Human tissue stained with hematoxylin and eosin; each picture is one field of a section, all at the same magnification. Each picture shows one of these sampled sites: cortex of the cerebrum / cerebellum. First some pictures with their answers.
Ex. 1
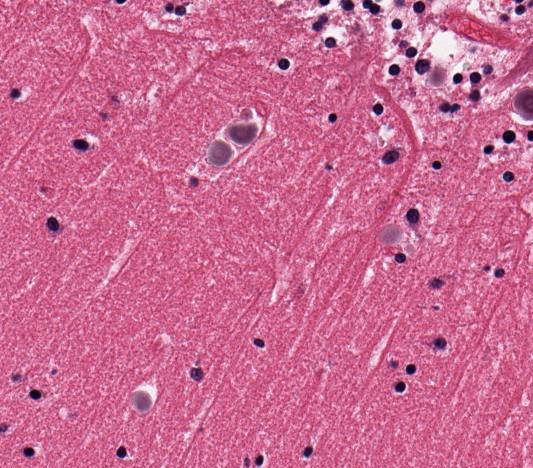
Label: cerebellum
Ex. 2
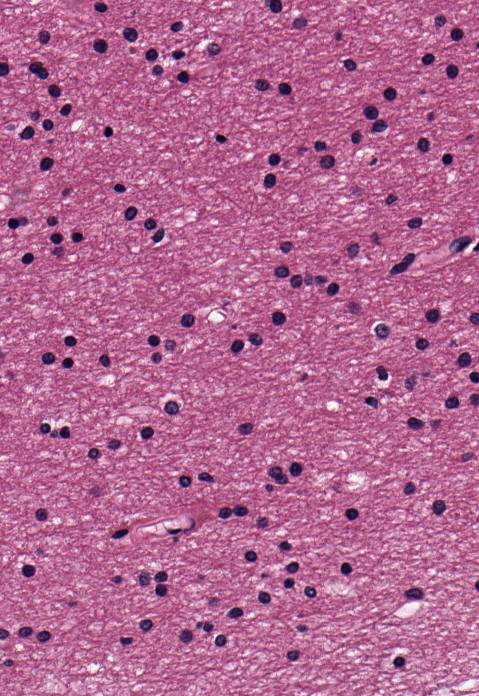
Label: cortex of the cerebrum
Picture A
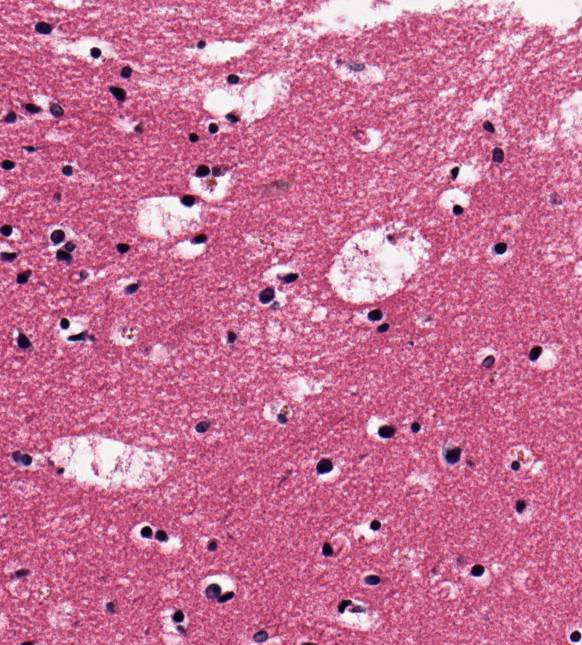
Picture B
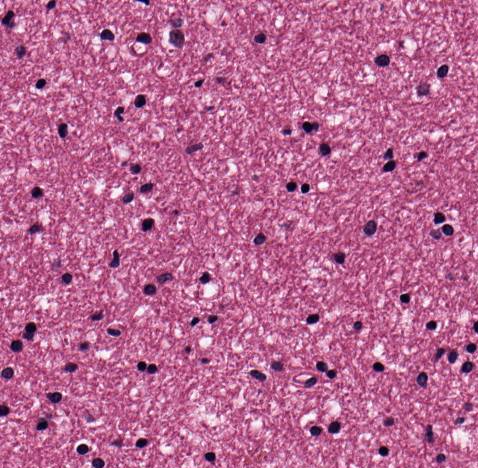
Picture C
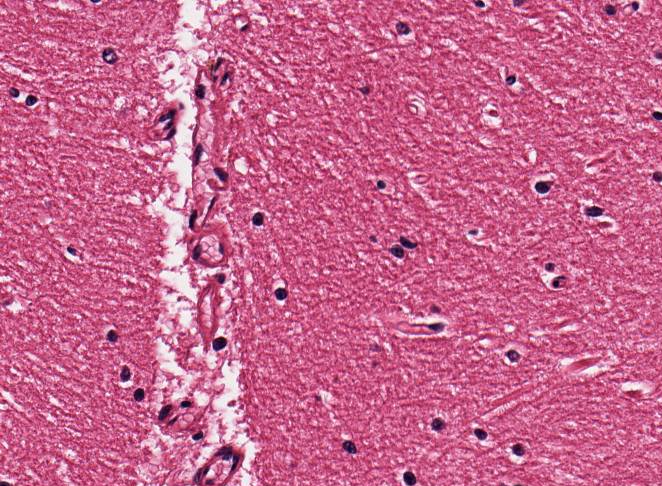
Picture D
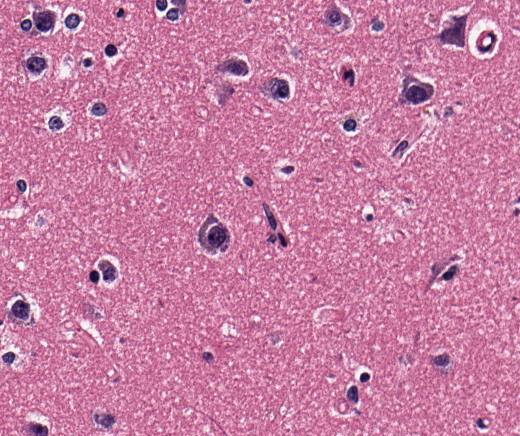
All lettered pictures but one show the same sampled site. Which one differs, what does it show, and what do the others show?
C: cerebellum; all the others: cortex of the cerebrum.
